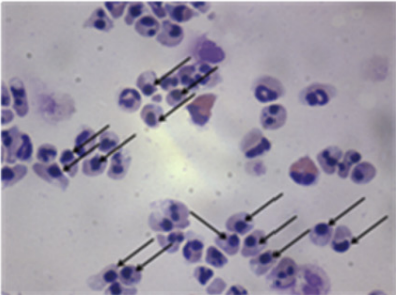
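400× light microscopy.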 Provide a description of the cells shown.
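Among cells with lobed purple nuclei lie many smaller cells whose nuclei are condensed into dense, dark, rounded masses, several of them marked by black arrows. A cell with pinkish-red cytoplasm is also present. The small cells with compact dark nuclei are apoptotic neutrophils, showing cell shrinkage and nuclear pyknosis.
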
